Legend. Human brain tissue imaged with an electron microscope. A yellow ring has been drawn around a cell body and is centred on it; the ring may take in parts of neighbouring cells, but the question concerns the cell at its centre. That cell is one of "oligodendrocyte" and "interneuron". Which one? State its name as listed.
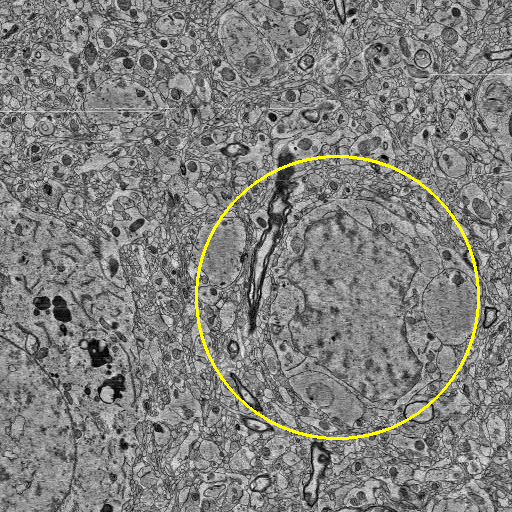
interneuron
